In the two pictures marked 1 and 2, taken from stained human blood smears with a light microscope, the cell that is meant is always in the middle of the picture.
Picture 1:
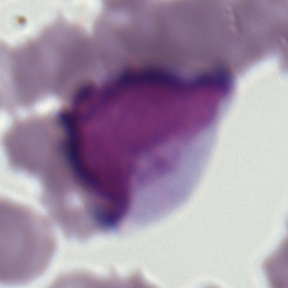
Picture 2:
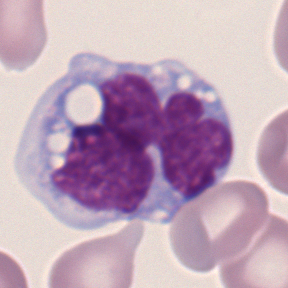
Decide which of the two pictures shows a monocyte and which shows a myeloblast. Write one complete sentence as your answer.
Picture 1 is of a myeloblast, and picture 2 is of a monocyte.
